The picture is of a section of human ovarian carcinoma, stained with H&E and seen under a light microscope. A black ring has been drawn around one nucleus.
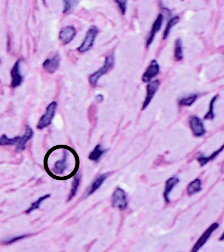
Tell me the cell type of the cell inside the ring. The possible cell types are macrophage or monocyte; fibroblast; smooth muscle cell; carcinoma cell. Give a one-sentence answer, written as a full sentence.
With respect to cell type, the cell inside the ring is a fibroblast.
